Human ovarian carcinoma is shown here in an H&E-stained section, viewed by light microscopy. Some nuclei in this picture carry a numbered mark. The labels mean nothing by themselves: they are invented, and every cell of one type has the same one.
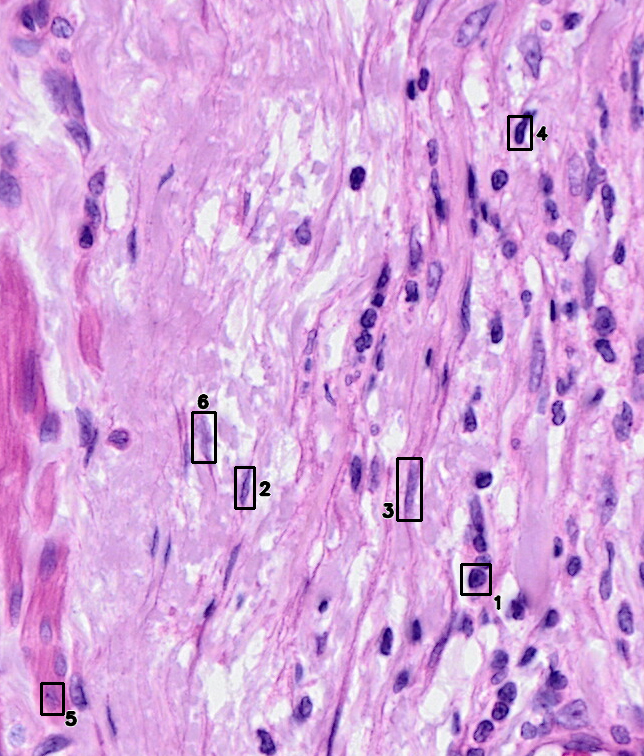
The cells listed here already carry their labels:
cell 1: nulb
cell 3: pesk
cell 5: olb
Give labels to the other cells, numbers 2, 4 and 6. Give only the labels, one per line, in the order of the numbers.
pesk
nulb
pesk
